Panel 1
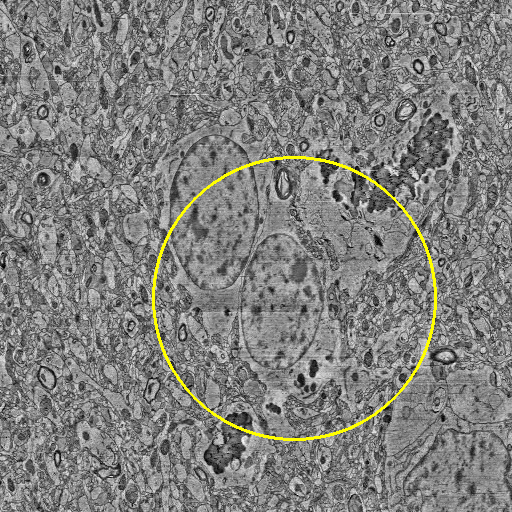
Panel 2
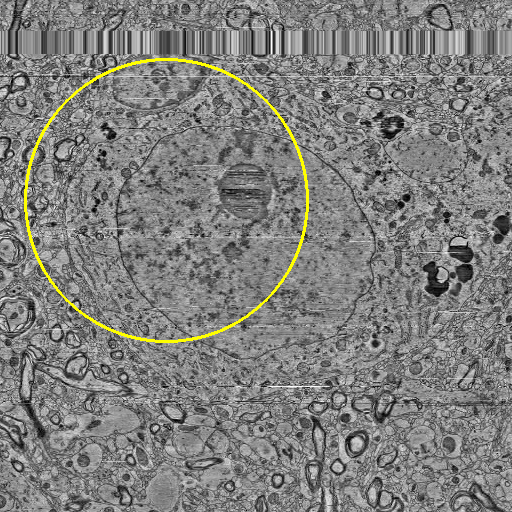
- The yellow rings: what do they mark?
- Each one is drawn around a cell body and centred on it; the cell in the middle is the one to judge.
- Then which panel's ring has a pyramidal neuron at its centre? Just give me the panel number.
2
